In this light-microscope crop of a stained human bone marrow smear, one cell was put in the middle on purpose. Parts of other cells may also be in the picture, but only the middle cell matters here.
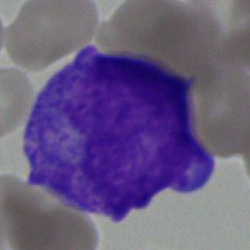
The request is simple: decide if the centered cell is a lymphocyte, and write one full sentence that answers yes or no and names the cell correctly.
No, in this crop the middle cell is a blast, not a lymphocyte.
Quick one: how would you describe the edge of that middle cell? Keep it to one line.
The cell membrane follows an uneven contour, either ragged or bearing projections.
